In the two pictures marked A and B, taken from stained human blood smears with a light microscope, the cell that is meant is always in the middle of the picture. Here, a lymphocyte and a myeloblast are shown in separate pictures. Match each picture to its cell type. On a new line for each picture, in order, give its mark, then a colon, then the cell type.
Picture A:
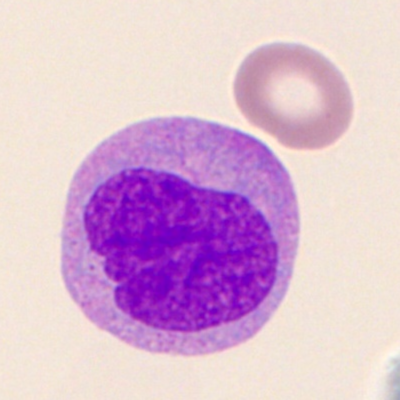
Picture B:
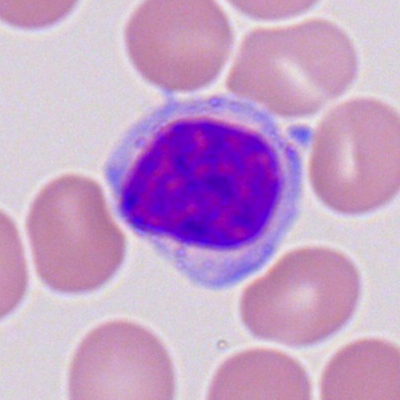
A: myeloblast
B: lymphocyte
